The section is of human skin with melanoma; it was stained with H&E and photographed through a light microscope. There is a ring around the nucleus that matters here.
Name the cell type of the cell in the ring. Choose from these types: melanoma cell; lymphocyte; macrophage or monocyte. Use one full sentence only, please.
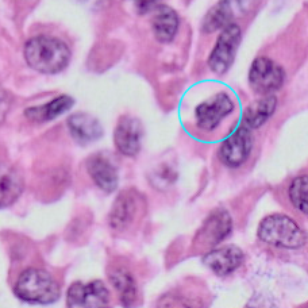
Just put down that the cell in the ring is a melanoma cell.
